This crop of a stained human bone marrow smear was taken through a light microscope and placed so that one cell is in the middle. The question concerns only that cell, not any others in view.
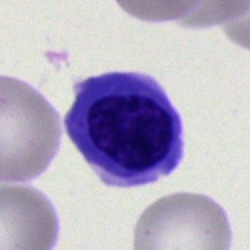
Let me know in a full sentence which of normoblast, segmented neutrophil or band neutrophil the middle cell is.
This crop is built around a normoblast at its centre.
